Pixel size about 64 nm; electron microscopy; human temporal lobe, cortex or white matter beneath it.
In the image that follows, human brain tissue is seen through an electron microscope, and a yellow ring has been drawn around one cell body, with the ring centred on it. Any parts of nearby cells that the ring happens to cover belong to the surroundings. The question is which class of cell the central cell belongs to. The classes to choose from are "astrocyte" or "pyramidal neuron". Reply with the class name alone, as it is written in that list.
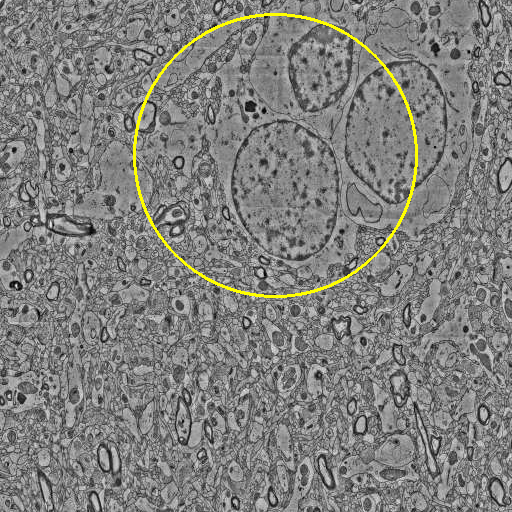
astrocyte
